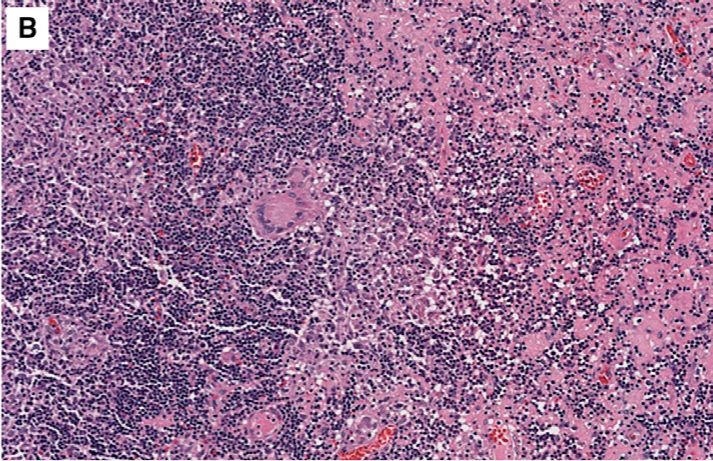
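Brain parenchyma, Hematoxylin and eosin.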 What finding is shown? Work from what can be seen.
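Sheets of small, round, dark nuclei crowd much of the field. The crowded cells are densest on the left and thin out toward the pink background on the right. That points to this answer: dense lymphocytic inflammatory infiltrate.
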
